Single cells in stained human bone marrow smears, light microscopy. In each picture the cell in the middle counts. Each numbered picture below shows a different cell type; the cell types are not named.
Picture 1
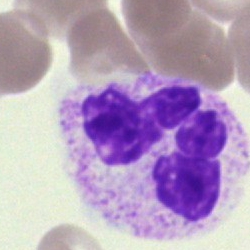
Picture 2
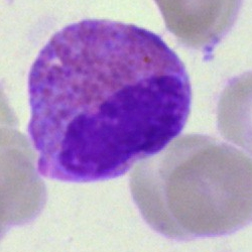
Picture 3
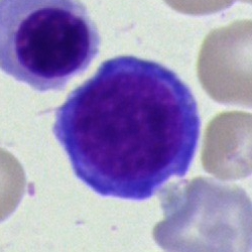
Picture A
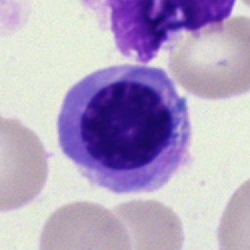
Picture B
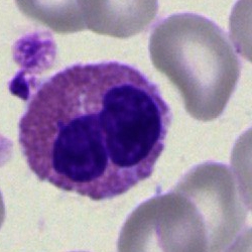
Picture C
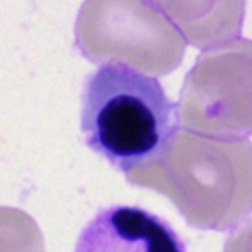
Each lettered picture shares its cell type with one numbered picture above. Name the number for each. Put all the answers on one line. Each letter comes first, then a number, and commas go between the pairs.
A 3, B 2, C 3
